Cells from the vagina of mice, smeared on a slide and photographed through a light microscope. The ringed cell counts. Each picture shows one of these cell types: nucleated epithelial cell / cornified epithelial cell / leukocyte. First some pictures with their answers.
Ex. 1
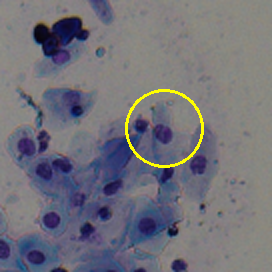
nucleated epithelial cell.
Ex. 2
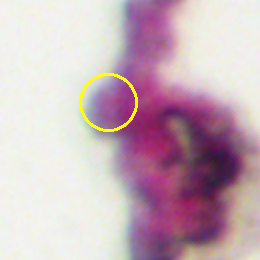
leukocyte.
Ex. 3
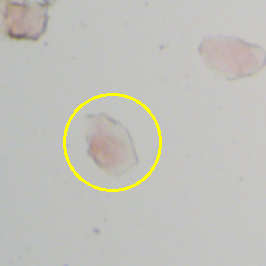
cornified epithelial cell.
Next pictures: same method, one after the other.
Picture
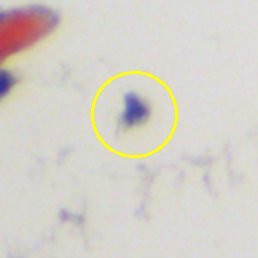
leukocyte.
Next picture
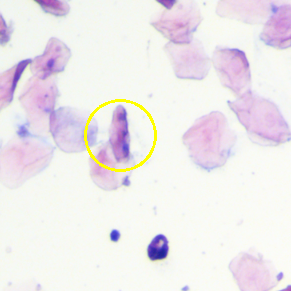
cornified epithelial cell.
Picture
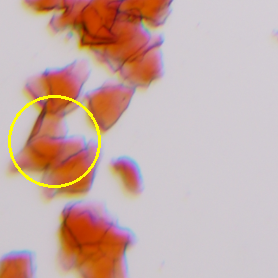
cornified epithelial cell.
